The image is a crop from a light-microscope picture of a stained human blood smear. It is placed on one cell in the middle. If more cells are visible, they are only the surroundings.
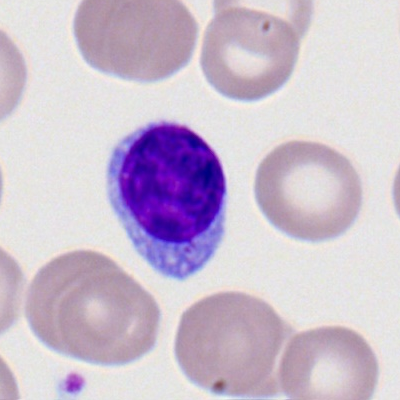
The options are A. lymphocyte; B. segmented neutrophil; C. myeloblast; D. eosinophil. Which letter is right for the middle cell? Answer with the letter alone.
A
